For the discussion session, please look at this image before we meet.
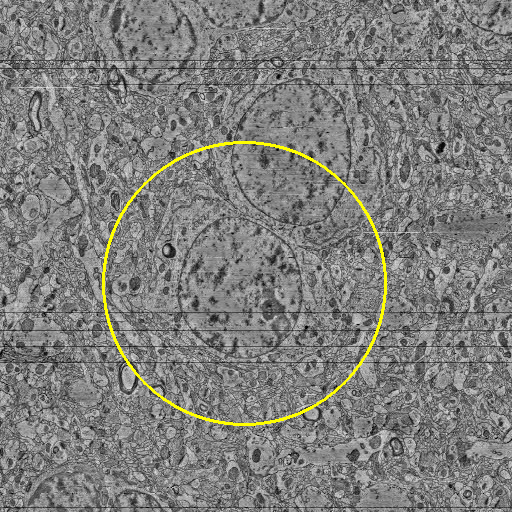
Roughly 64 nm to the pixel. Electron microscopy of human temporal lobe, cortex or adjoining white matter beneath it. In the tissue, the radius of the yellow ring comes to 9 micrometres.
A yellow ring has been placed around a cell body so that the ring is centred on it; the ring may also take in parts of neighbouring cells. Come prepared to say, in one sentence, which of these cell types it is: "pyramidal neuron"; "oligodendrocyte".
The cell centred in the ring is a pyramidal neuron.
